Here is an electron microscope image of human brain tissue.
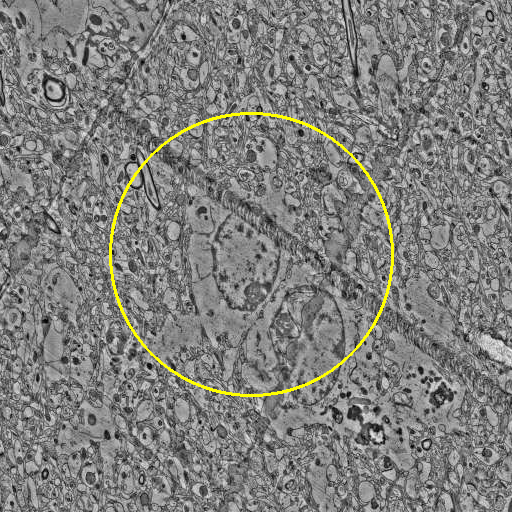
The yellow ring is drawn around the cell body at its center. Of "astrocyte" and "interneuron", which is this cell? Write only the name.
astrocyte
